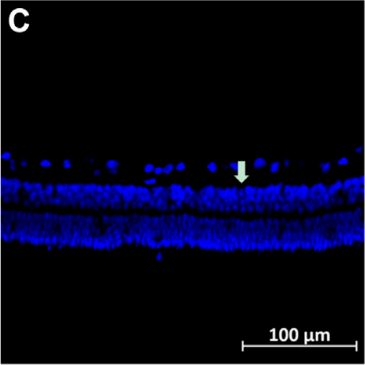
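This is a cross-section of the retina with its nuclei shown in blue, arranged in clear layers. At the top a sparse, single row of scattered nuclei forms the ganglion cell layer, separated by a nucleus-free band, the inner plexiform layer, from a dense band of nuclei, the inner nuclear layer. A thin nucleus-free line, the outer plexiform layer, divides this from a thicker band of tightly packed, small nuclei, the outer nuclear layer. Below this the photoreceptor segments are unlabelled and dark.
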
